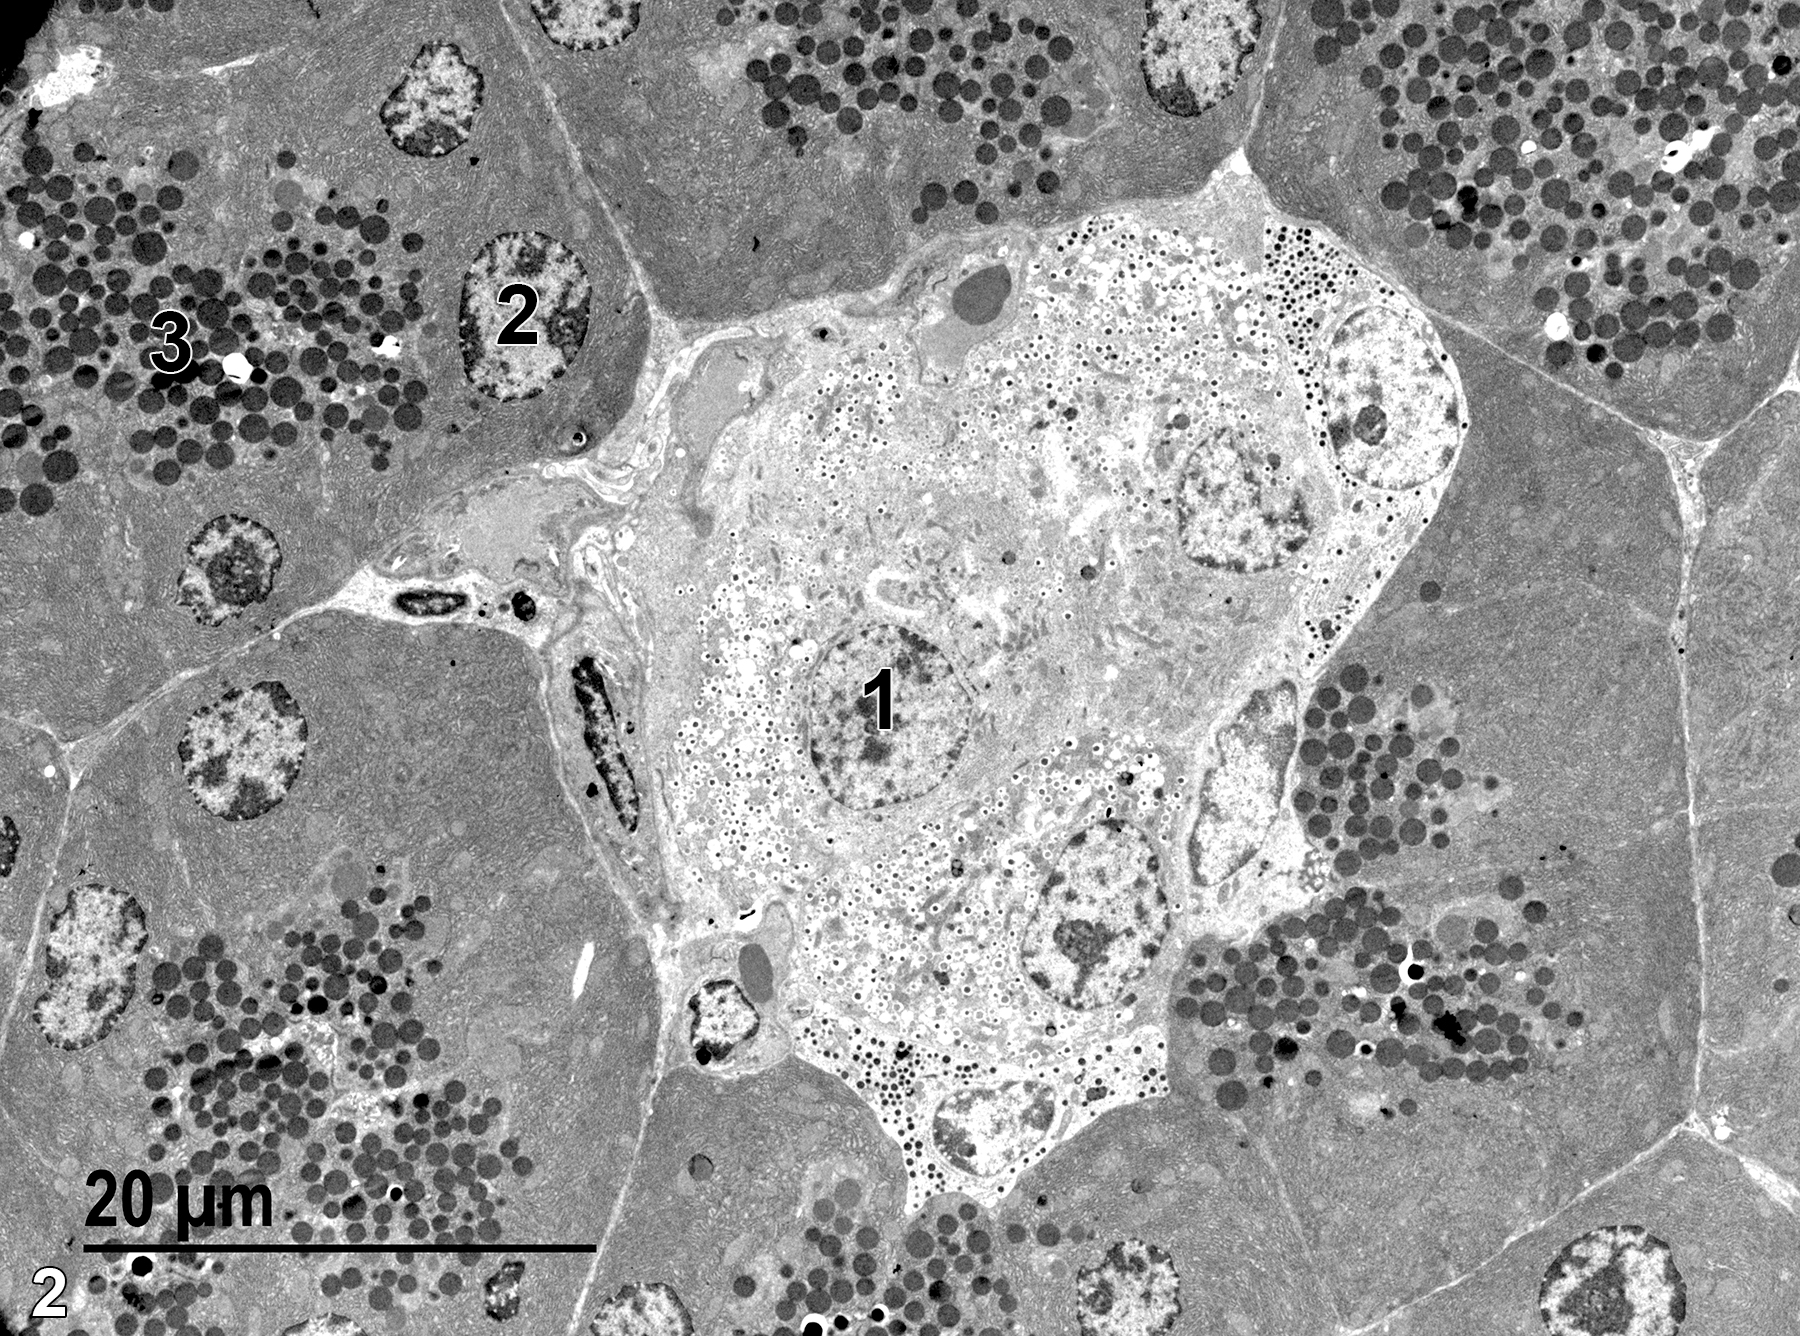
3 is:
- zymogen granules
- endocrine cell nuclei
zymogen granules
